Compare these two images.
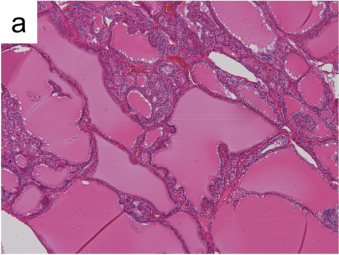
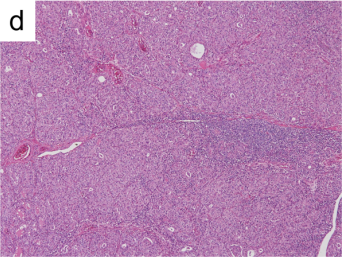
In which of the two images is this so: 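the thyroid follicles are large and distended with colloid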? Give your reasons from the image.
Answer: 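The first image. Second image: follicles are tiny and crowded with scant colloid. First image: follicles are large and filled with pink colloid.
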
